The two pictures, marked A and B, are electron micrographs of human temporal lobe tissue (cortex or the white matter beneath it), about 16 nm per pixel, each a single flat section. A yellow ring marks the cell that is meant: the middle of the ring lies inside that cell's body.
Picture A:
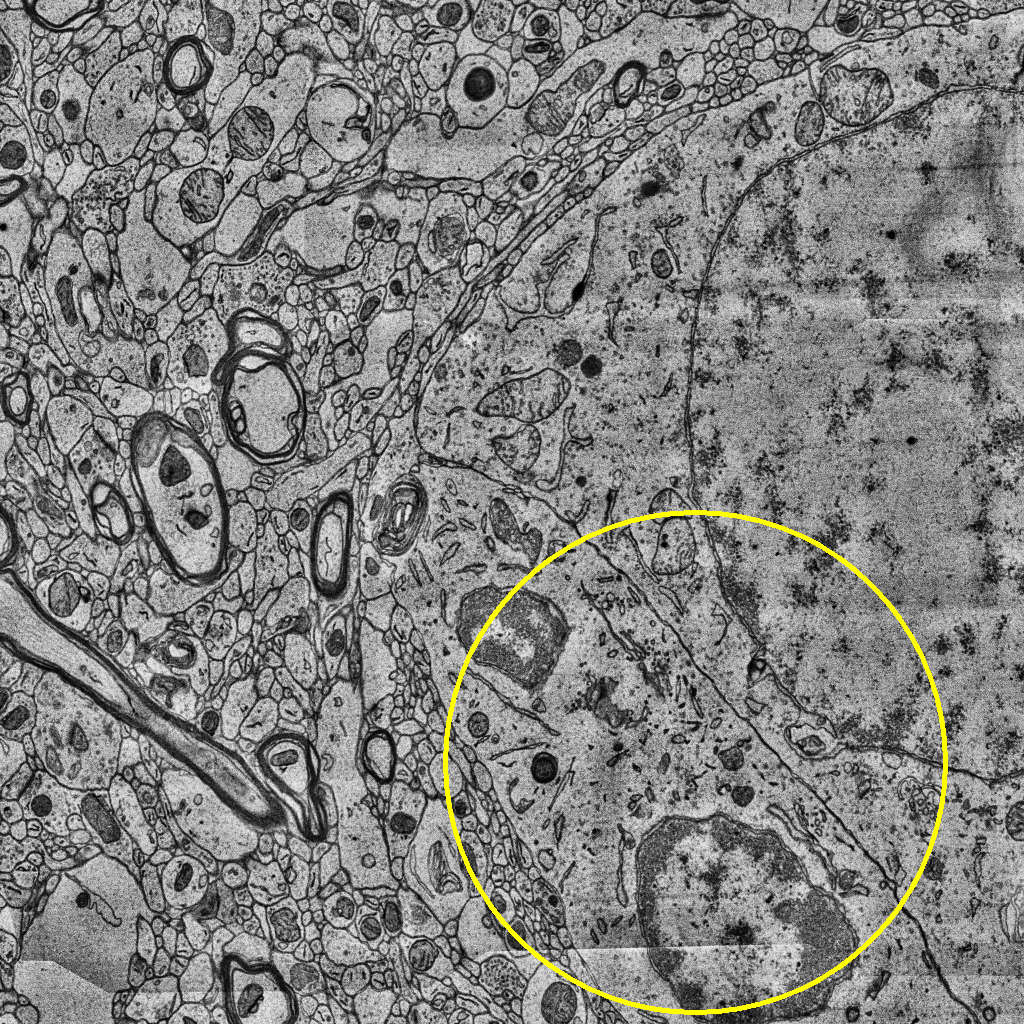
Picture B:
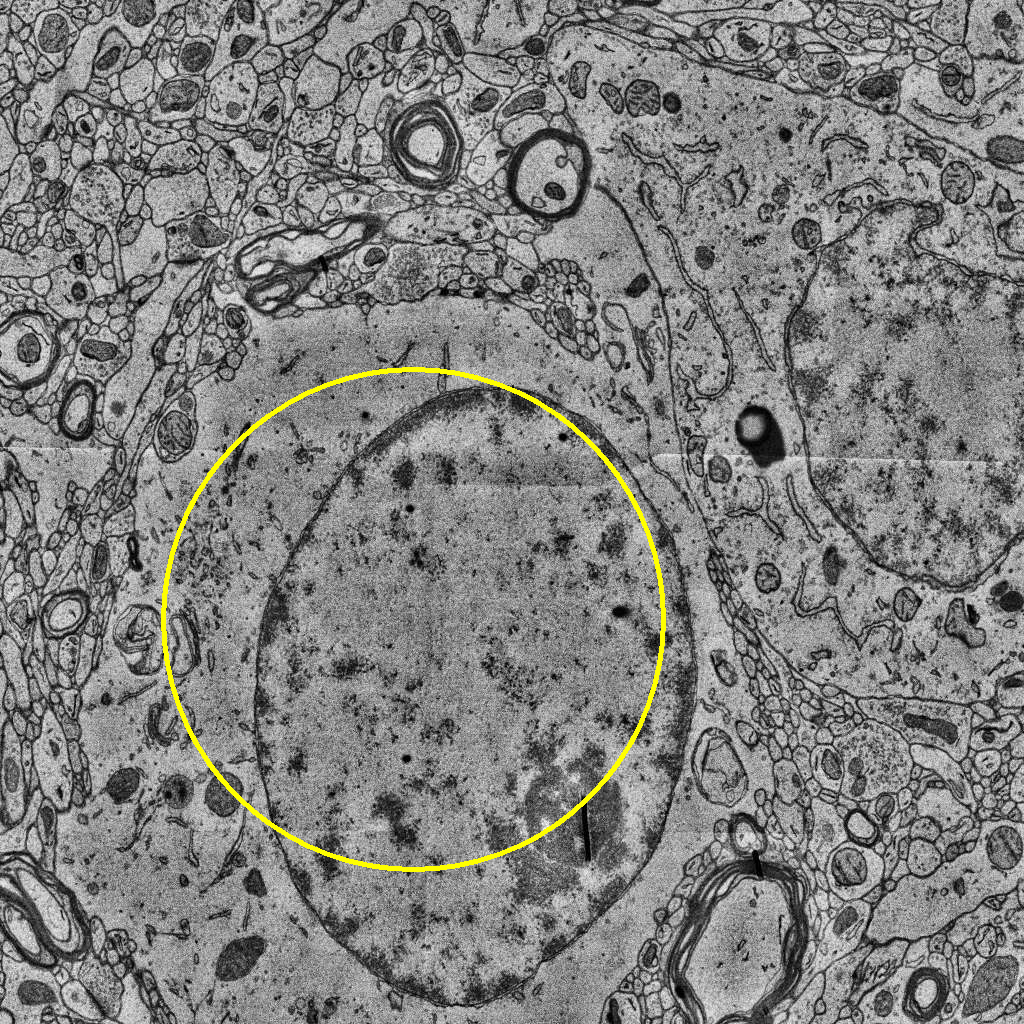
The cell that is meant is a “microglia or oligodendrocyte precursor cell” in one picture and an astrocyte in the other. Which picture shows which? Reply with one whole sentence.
Picture B shows an astrocyte, while picture A shows a “microglia or oligodendrocyte precursor cell”.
